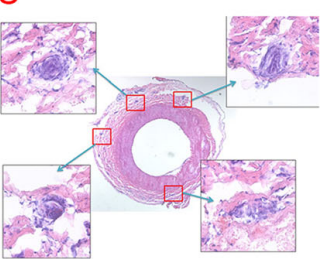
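This is a cross-section of a muscular artery with the small nerve bundles that run in the loose tissue around it. The artery wall is a thick, evenly pink ring around an open lumen. Outside it, in the looser connective tissue, several small bundles are boxed and shown enlarged in the insets: each is a compact, purple-stained cluster packed with dark, elongated nuclei, set among wavy pink collagen fibres. The bundles look cellular and intact.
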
